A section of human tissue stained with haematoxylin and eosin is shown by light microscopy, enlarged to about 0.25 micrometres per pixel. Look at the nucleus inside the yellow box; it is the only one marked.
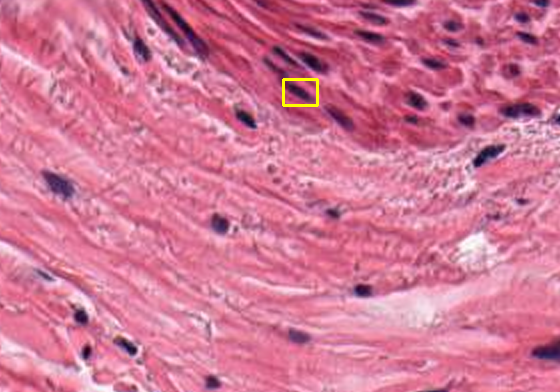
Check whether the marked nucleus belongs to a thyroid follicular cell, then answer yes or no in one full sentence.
No, in this image, the nucleus with the marker is not from a thyroid follicular cell.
